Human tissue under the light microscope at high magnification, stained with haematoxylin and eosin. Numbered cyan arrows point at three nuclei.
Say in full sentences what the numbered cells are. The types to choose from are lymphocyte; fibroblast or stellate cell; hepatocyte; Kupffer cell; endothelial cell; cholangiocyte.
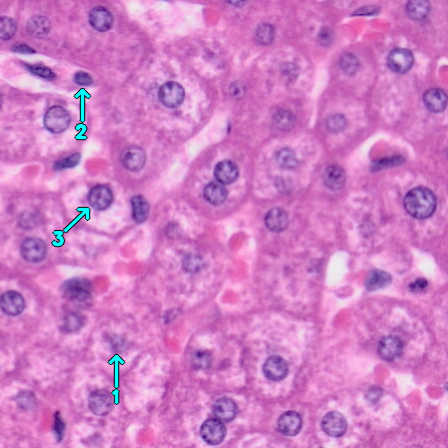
Cells 1 and 3 are hepatocytes. Cell 2 is a lymphocyte.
